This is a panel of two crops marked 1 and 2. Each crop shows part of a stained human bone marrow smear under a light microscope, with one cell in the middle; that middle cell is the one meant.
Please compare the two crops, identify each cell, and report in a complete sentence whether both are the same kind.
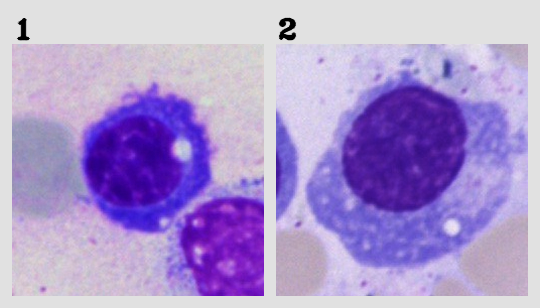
Yes, both crops in the pair show plasma cells.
